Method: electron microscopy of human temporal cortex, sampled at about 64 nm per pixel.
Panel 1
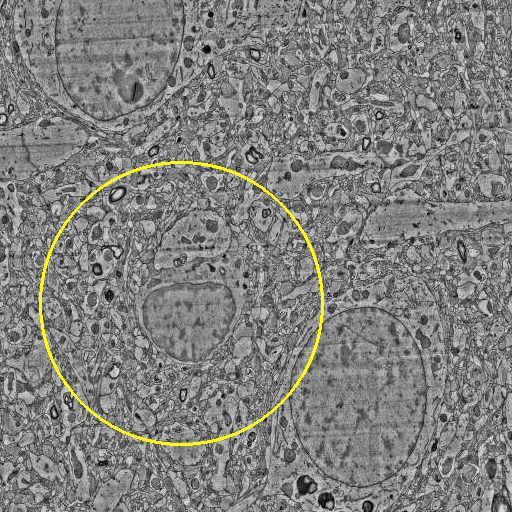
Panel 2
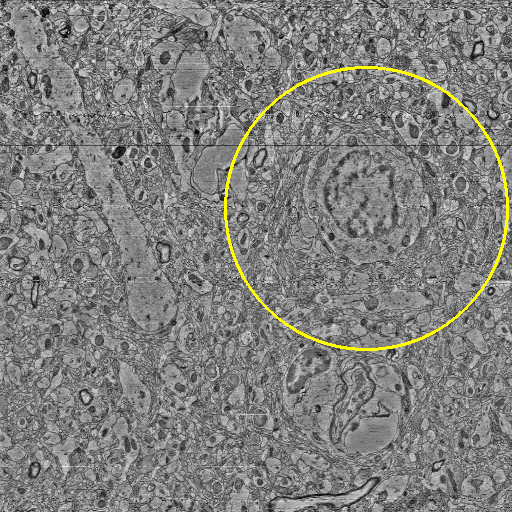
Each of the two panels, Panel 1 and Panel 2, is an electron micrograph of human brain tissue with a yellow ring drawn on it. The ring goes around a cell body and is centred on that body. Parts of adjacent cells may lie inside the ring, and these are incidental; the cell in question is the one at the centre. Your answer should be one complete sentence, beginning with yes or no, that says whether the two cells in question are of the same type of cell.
No, the two cells are of two types.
